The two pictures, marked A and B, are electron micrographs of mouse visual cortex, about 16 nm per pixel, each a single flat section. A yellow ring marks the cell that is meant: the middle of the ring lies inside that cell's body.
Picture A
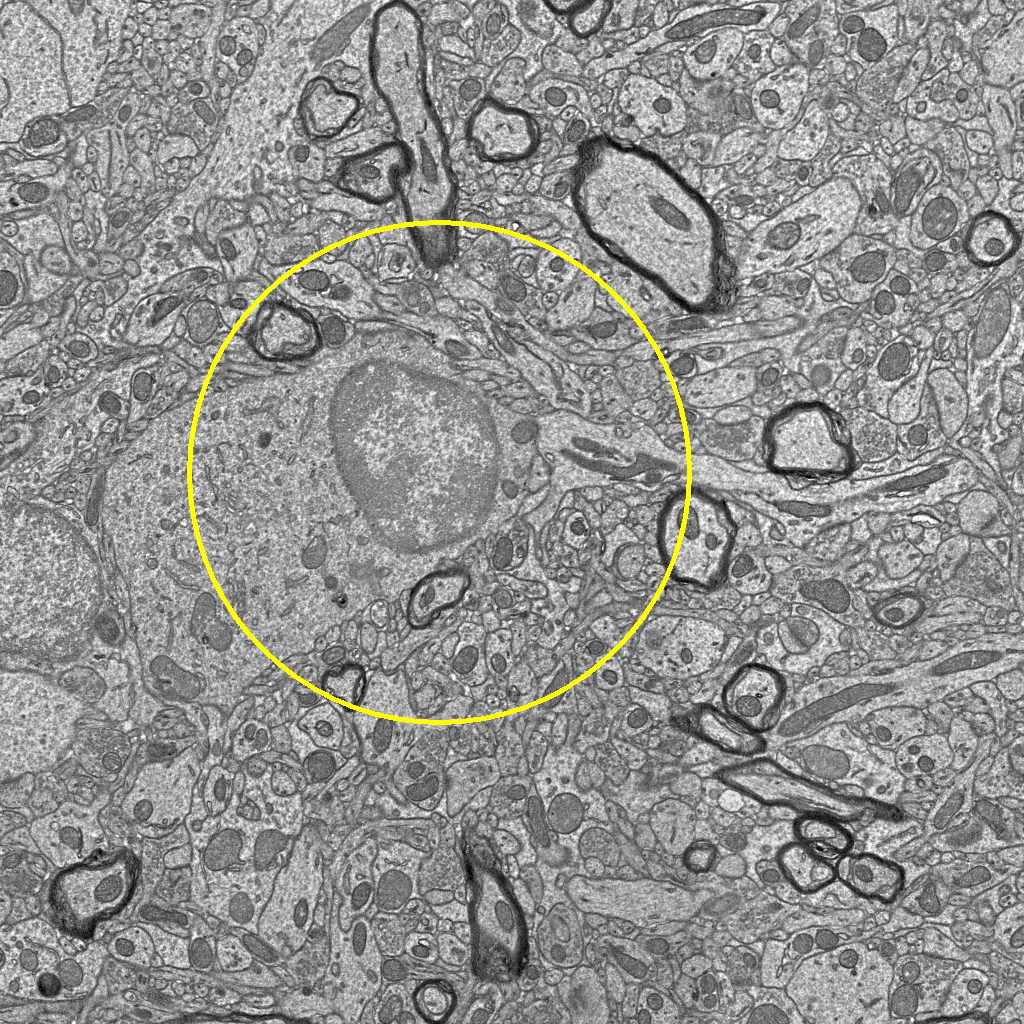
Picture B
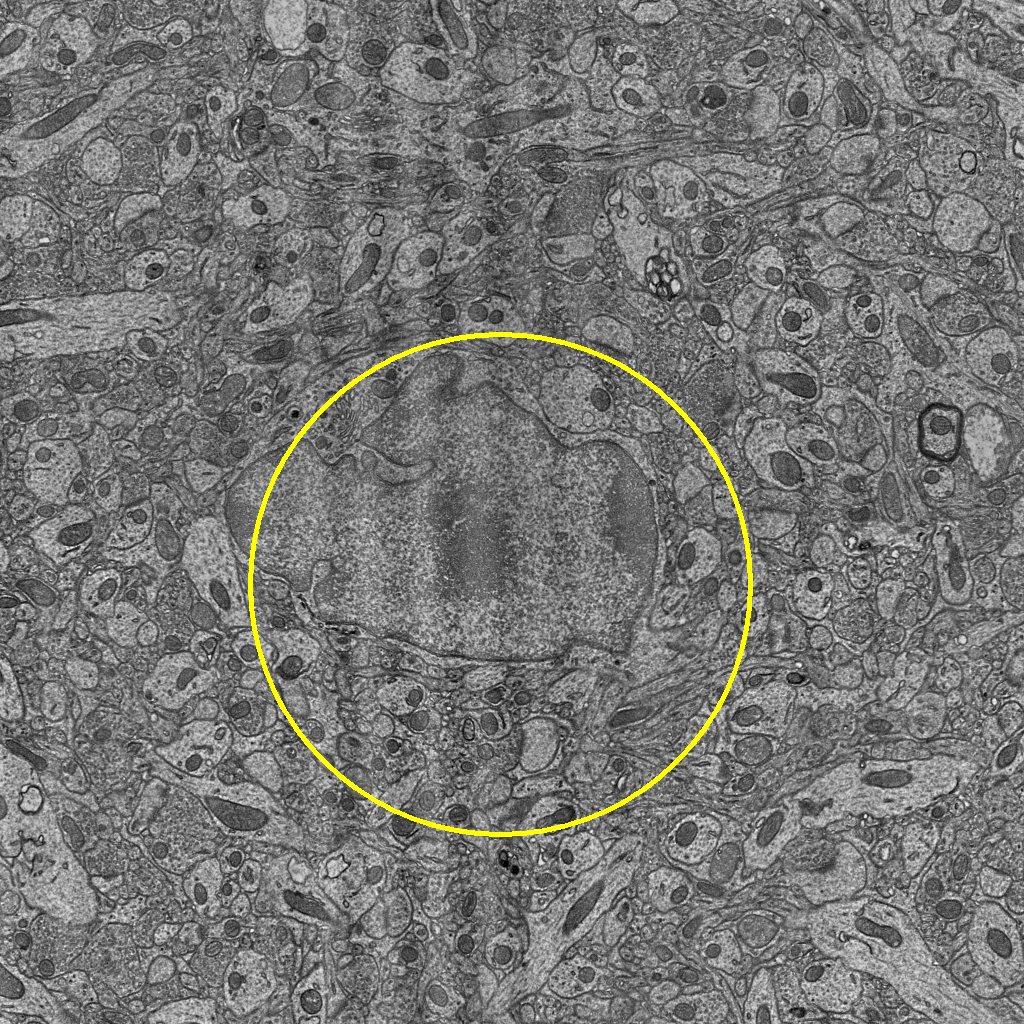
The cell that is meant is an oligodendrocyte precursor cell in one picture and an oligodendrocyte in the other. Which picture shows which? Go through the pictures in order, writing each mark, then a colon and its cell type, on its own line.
A: oligodendrocyte
B: oligodendrocyte precursor cell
